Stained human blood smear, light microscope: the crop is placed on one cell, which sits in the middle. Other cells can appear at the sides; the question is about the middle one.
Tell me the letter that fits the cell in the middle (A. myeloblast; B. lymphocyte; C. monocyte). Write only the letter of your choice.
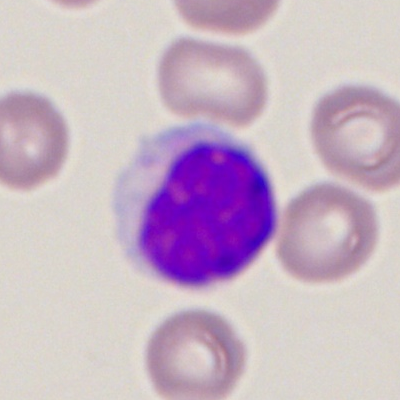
B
